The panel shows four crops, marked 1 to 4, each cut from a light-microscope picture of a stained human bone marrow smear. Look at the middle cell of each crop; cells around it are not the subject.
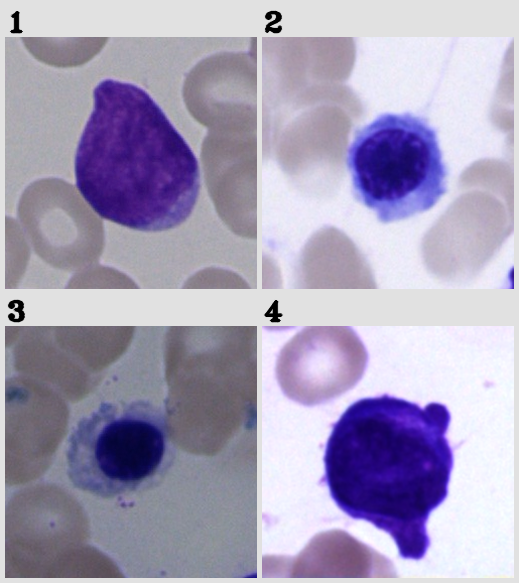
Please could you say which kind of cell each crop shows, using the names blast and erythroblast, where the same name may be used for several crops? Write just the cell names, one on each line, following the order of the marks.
blast
erythroblast
erythroblast
blast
